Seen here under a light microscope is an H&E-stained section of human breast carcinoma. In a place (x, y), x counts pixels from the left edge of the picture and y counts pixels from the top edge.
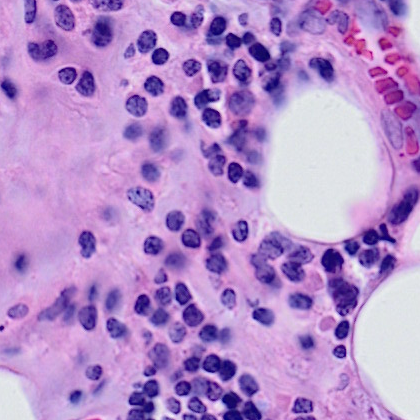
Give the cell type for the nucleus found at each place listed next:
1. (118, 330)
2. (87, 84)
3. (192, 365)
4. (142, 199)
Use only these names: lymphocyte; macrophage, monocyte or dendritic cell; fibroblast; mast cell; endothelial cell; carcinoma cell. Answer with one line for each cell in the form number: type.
1: lymphocyte
2: lymphocyte
3: lymphocyte
4: mast cell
